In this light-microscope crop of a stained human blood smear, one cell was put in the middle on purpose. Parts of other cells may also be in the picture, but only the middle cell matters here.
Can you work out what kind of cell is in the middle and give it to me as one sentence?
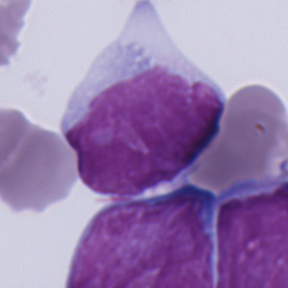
In the center of this field lies a myeloblast.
